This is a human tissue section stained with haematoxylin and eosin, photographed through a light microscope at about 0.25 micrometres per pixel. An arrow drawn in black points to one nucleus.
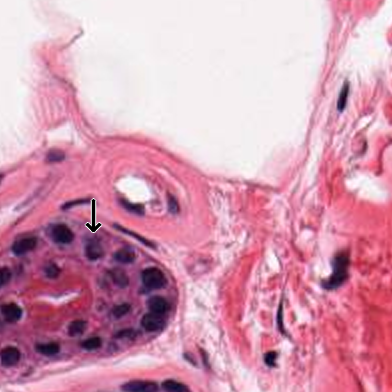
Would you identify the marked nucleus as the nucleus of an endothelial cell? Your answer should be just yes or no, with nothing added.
no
